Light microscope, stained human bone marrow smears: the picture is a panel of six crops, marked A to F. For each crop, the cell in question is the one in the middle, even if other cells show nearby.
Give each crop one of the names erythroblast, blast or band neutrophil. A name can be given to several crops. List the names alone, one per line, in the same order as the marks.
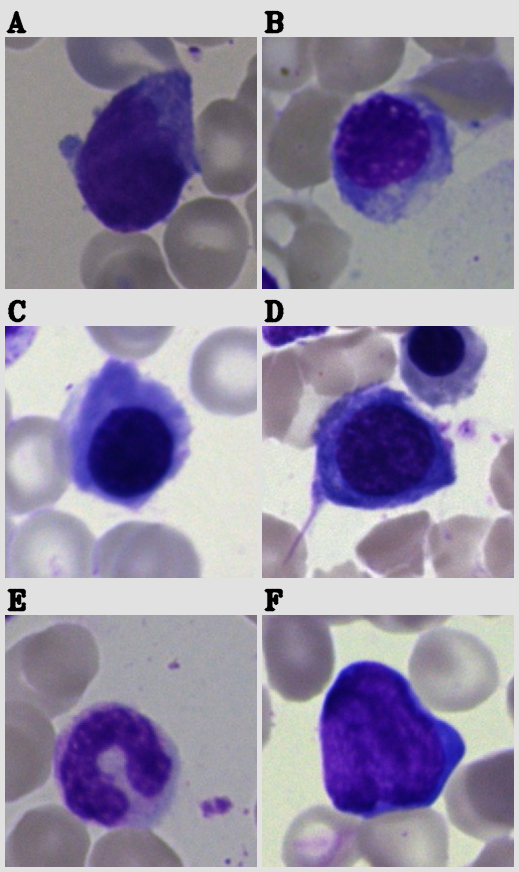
blast
erythroblast
erythroblast
erythroblast
band neutrophil
blast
